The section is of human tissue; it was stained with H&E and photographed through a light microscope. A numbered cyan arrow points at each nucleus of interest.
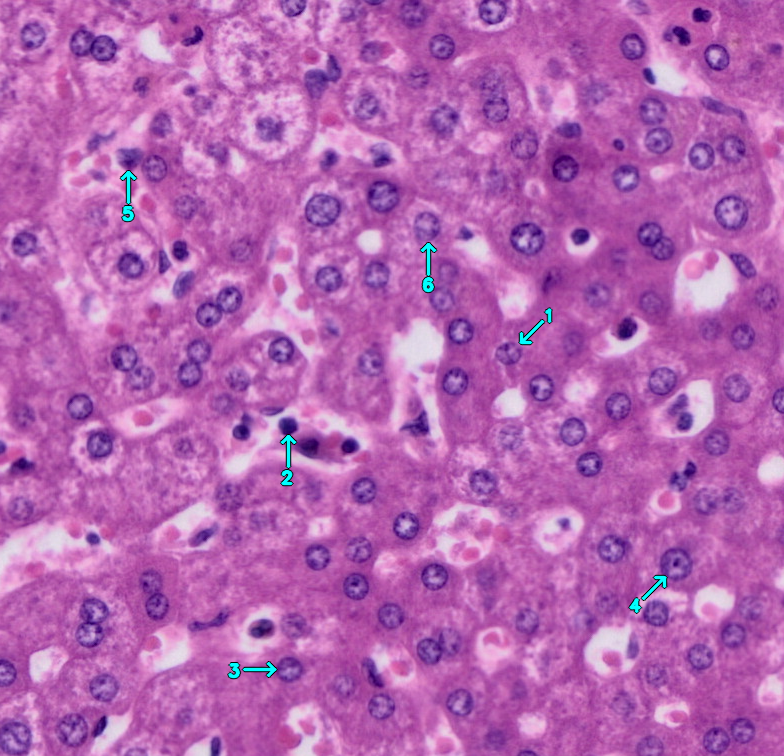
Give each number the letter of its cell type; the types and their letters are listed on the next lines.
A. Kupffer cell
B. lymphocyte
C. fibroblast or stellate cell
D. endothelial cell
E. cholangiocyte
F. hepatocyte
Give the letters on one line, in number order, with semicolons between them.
F; B; F; F; D; F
